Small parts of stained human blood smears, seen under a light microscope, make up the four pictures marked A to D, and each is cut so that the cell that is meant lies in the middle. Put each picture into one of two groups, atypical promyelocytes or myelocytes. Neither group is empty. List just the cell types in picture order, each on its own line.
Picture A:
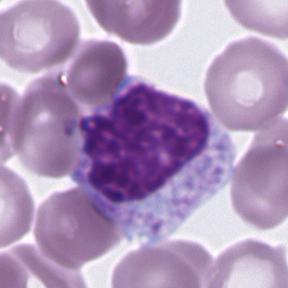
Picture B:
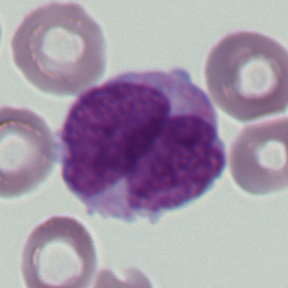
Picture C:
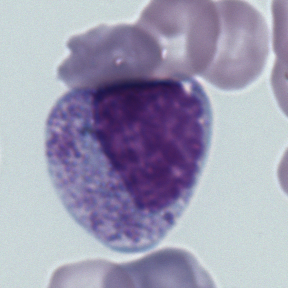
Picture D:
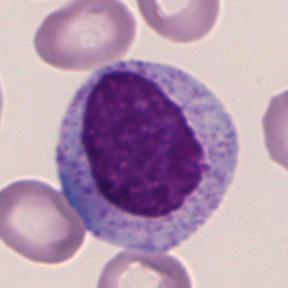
myelocyte
atypical promyelocyte
myelocyte
myelocyte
